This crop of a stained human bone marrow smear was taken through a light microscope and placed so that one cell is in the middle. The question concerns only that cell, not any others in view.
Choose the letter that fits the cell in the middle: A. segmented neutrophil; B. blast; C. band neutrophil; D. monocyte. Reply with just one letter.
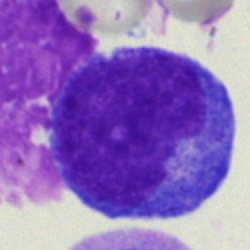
B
